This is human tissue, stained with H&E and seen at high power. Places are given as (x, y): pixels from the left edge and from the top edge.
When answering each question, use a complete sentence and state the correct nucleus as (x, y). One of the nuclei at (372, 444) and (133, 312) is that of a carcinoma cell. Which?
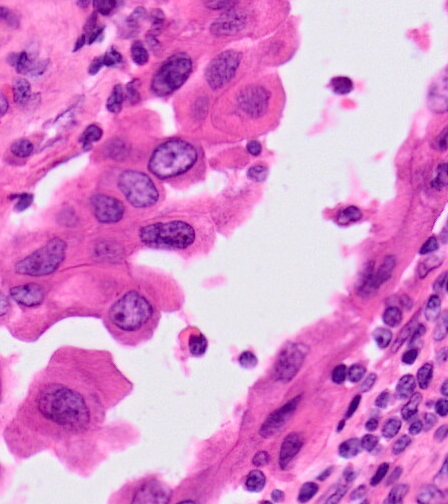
The nucleus found at (133, 312) belongs to a carcinoma cell.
